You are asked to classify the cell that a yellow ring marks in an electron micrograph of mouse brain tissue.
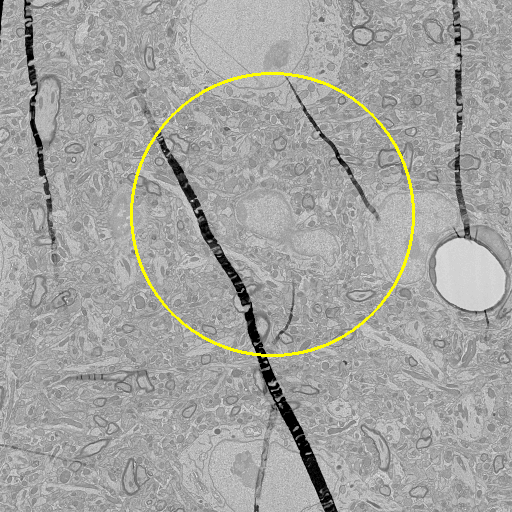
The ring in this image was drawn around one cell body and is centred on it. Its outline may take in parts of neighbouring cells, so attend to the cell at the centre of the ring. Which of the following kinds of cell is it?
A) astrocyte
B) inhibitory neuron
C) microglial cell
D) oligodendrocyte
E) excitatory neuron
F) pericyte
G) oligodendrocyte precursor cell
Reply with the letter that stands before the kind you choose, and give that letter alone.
G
